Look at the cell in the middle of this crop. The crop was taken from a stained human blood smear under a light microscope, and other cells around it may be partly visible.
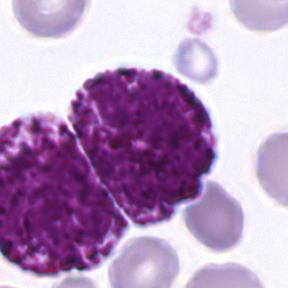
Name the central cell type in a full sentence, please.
At the middle of the frame sits a basophil.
